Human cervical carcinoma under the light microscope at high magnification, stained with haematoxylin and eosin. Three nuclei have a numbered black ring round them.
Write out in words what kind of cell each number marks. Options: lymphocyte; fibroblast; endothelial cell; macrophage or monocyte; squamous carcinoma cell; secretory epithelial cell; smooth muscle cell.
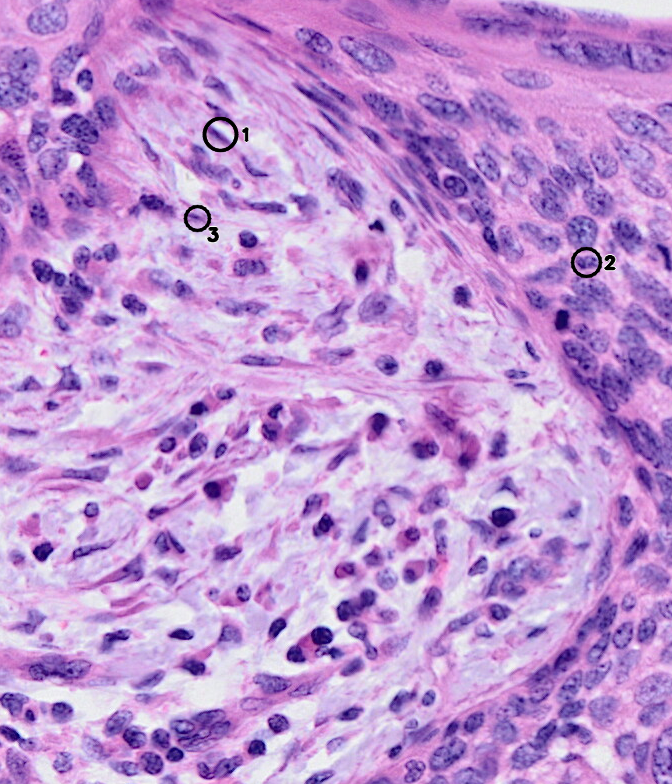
Cell 1 is a fibroblast, cell 2 is a squamous carcinoma cell and cell 3 is a fibroblast.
